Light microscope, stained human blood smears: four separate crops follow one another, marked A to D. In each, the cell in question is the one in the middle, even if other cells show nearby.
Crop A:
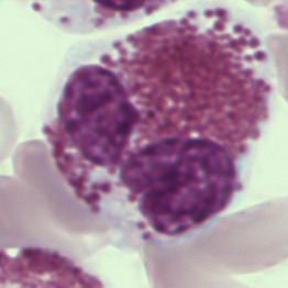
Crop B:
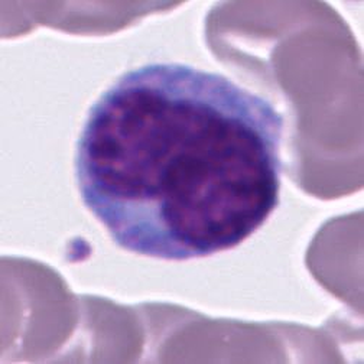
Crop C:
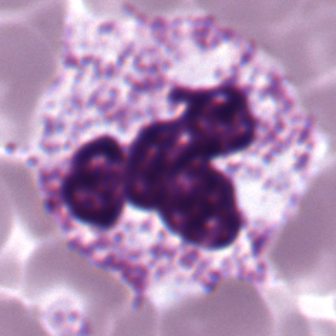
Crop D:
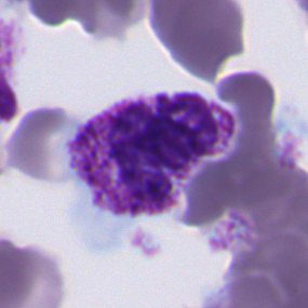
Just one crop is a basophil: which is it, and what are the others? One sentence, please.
In crop D the central cell is a basophil, while crop A is an eosinophil, crop B is a monocyte and crop C is a segmented neutrophil.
